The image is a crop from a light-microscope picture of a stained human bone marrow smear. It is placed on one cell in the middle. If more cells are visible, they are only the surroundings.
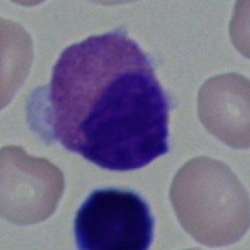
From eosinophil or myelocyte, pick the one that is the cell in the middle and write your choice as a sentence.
The crop's centre is taken up by an eosinophil.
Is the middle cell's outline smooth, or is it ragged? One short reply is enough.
The periphery of this cell is uneven, with ragged portions or projections.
